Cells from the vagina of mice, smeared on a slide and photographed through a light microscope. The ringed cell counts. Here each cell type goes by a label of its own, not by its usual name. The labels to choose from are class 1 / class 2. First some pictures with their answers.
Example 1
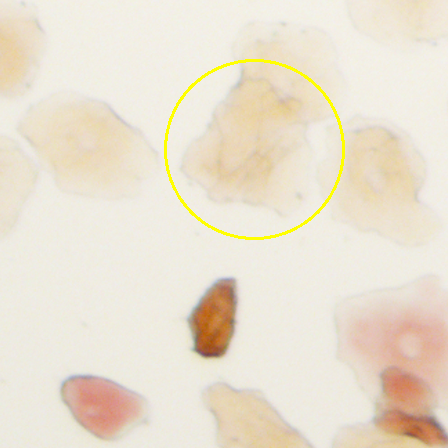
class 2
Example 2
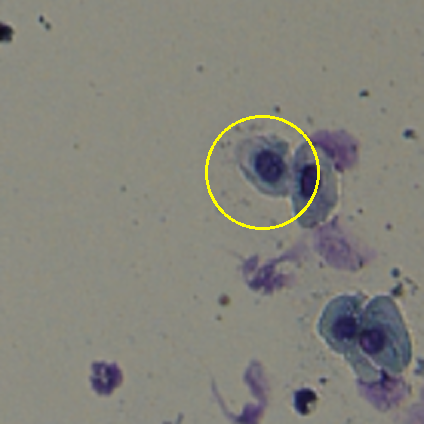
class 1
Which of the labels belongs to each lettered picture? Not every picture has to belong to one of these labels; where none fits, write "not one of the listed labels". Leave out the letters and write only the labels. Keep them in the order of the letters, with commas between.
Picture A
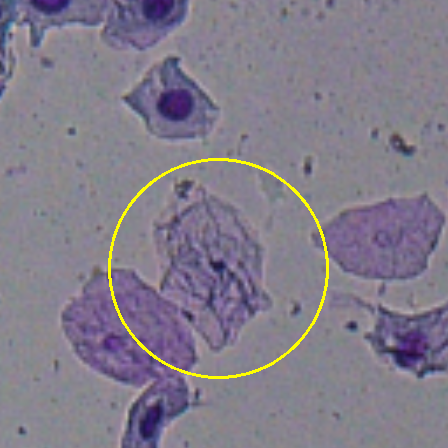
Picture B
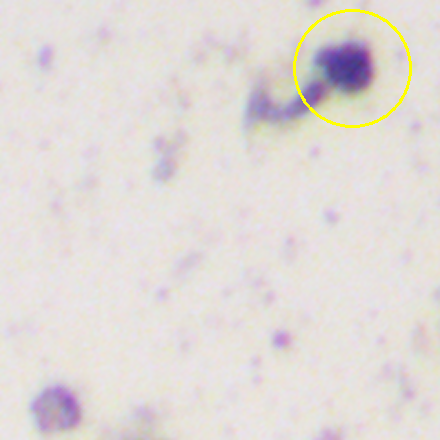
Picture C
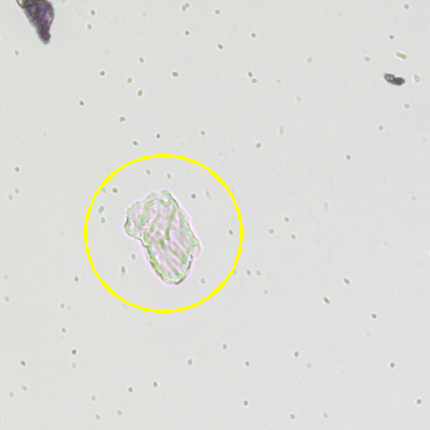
class 2, not one of the listed labels, class 2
